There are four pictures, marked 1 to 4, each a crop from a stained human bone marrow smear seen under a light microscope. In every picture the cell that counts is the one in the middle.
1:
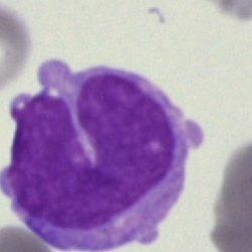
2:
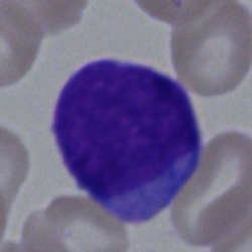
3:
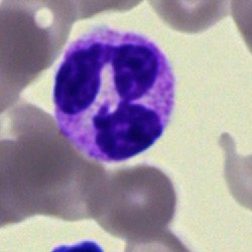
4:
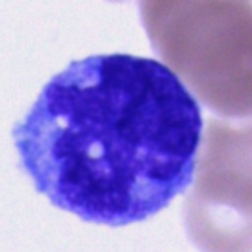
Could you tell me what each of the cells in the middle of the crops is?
1: monocyte
2: blast
3: segmented neutrophil
4: monocyte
